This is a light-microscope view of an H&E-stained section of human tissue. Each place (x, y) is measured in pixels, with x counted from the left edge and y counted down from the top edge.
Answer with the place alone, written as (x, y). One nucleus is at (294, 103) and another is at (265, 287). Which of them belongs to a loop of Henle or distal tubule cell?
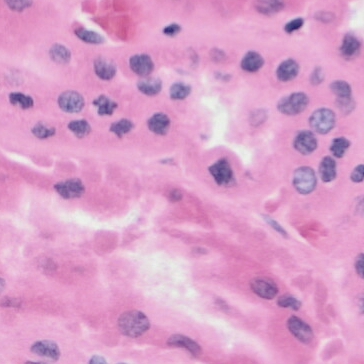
(294, 103)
